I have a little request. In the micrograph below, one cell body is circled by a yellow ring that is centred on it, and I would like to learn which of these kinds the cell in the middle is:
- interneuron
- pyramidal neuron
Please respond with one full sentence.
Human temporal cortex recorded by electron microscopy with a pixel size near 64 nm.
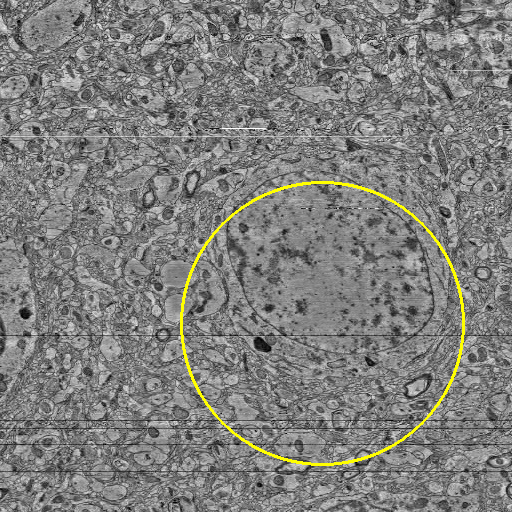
The cell sitting in the middle of the yellow ring in the micrograph is a pyramidal neuron.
